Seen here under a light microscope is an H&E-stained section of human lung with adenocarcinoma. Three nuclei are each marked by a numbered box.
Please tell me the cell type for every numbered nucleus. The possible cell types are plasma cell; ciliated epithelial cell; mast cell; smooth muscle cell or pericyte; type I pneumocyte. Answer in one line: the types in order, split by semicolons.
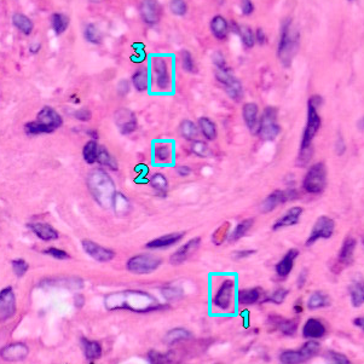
plasma cell; smooth muscle cell or pericyte; smooth muscle cell or pericyte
